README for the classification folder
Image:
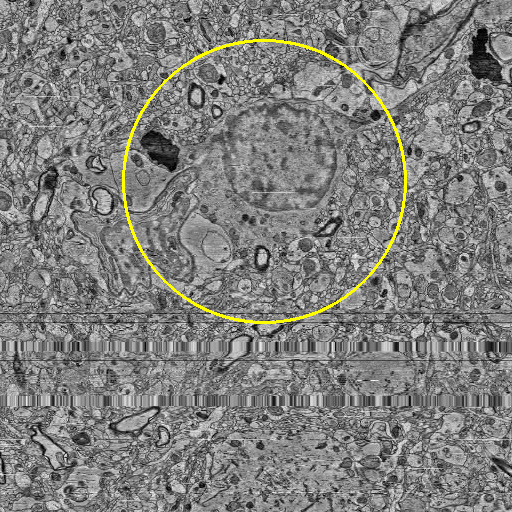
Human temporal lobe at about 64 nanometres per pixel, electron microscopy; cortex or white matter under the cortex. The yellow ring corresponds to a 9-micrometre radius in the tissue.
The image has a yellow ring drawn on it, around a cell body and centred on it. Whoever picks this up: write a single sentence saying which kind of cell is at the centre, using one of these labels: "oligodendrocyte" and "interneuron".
This cell body is that of an oligodendrocyte.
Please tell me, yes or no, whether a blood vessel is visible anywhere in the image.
Yes, a blood vessel shows in the picture.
